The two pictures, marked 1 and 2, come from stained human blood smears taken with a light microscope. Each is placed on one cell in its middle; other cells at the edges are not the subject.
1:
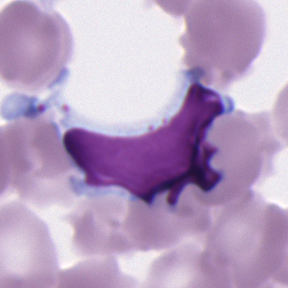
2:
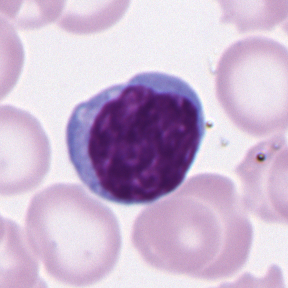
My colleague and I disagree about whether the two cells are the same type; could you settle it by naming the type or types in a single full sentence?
Yes, what both crops show is typical lymphocytes.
